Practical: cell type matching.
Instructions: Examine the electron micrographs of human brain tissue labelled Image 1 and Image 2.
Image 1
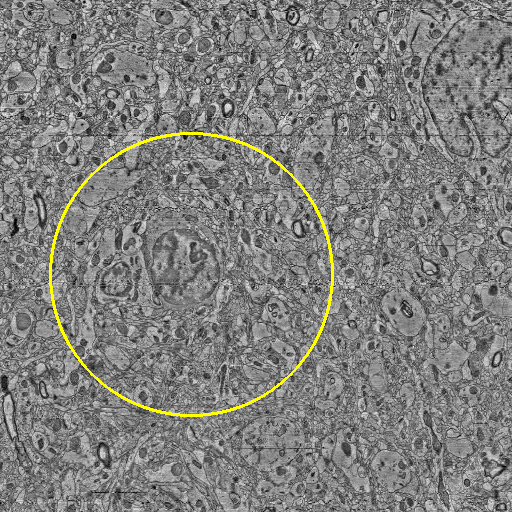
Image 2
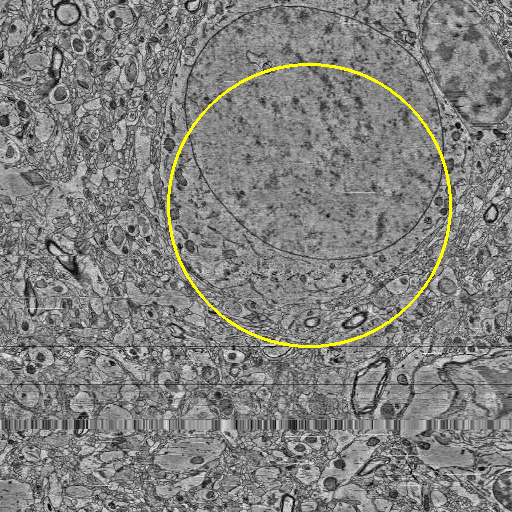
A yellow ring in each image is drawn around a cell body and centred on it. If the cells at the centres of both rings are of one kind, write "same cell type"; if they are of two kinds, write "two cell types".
two cell types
